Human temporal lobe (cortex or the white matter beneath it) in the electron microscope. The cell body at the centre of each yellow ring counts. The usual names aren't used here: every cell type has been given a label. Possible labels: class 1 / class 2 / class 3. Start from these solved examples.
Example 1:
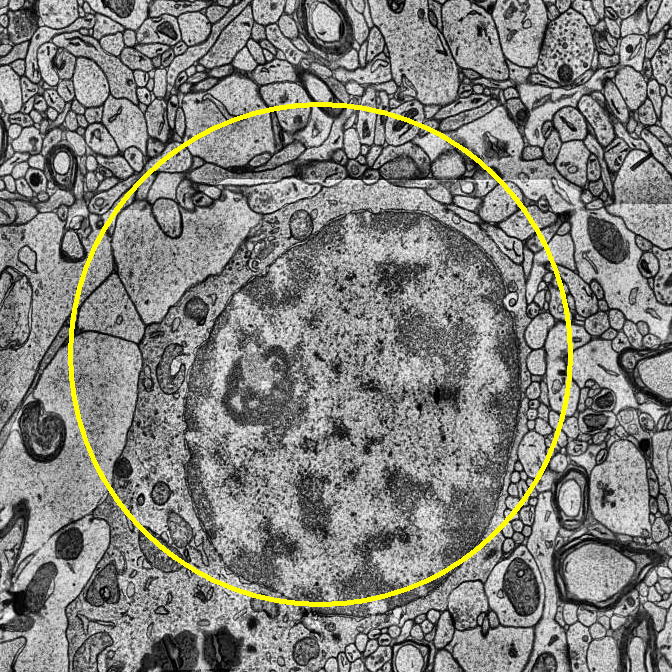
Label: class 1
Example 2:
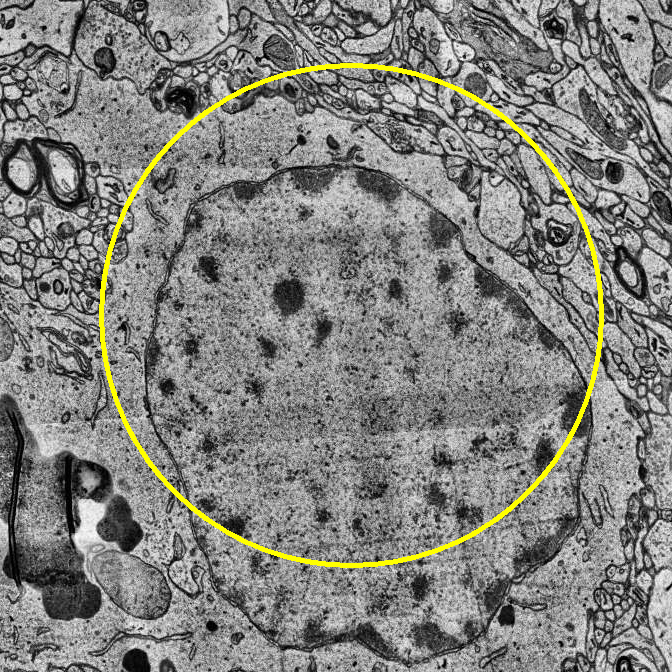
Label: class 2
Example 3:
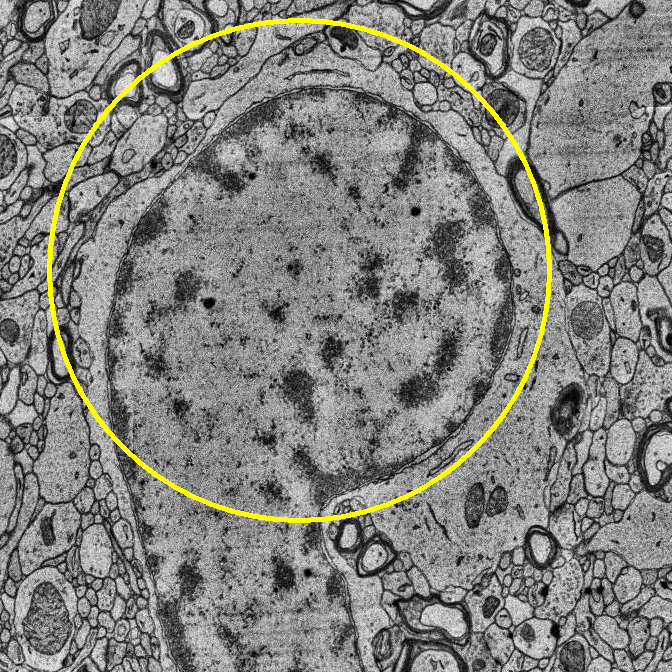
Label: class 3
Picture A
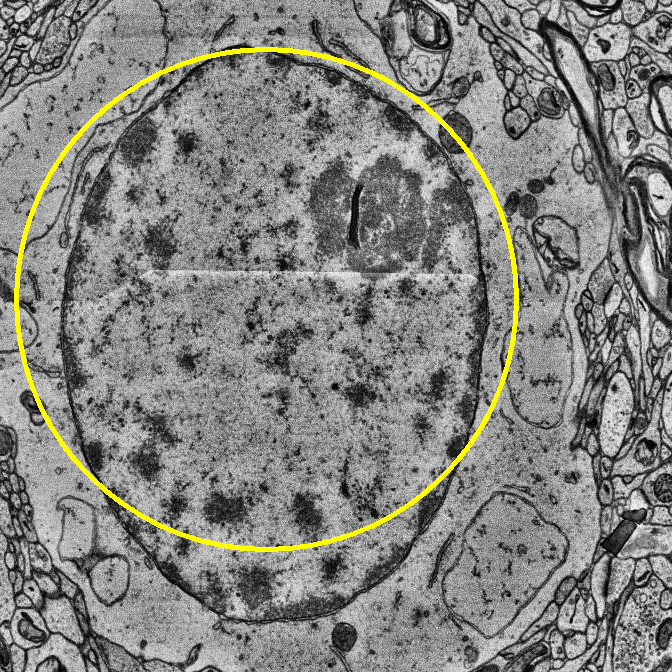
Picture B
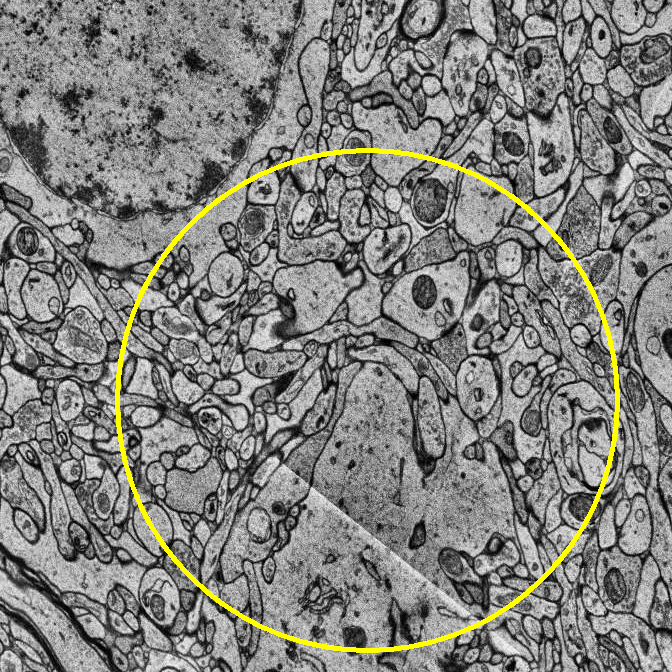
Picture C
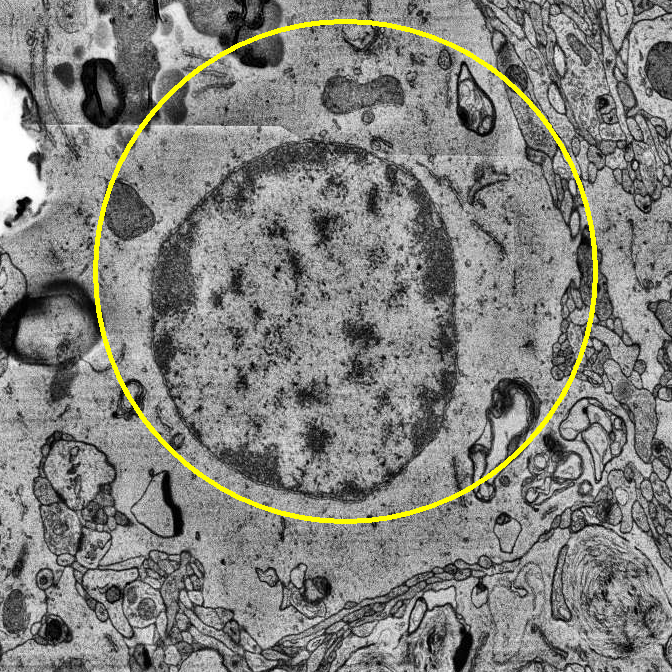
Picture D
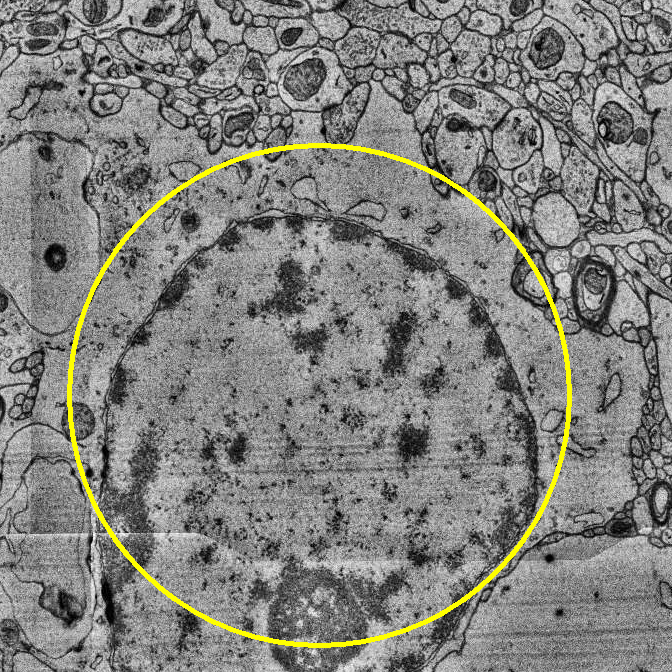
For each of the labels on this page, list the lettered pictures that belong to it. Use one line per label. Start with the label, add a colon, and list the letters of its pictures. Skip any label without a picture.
class 2: A, B, C, D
